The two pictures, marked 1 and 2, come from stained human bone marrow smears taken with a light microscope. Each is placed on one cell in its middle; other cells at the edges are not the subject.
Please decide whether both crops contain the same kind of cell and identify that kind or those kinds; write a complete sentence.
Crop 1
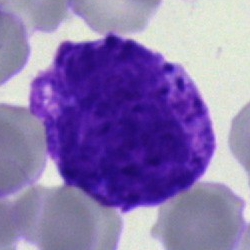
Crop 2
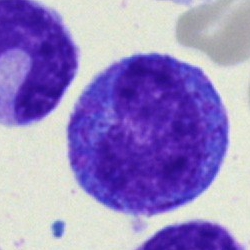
No, crop 1 contains a basophil; a promyelocyte is what crop 2 contains.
